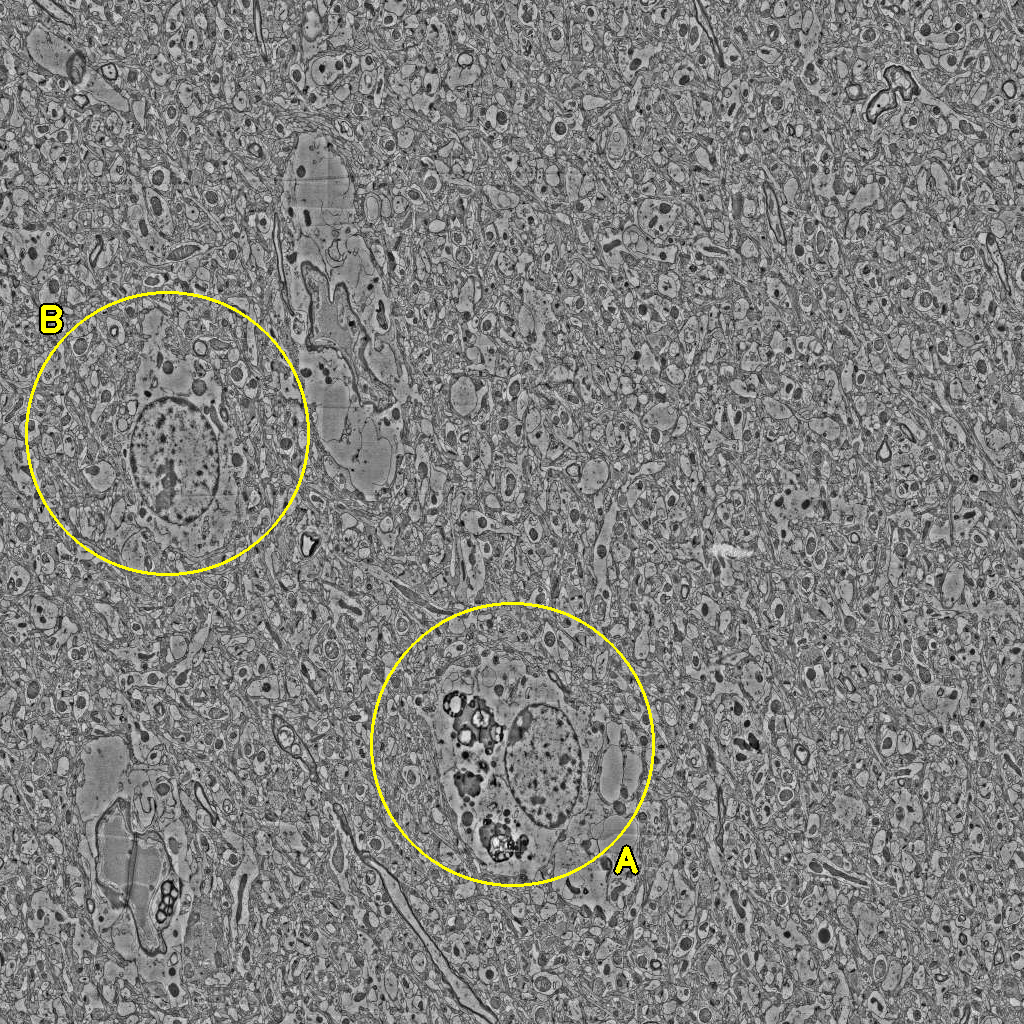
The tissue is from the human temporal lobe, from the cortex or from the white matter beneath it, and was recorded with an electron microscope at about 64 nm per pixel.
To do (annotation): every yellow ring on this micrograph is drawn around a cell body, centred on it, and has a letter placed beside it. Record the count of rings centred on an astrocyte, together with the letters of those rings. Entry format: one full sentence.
Rings lettered A and B, two altogether, have an astrocyte at the centre of every one of them.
